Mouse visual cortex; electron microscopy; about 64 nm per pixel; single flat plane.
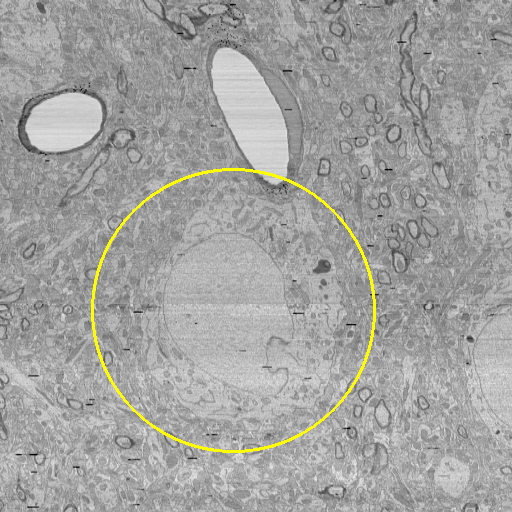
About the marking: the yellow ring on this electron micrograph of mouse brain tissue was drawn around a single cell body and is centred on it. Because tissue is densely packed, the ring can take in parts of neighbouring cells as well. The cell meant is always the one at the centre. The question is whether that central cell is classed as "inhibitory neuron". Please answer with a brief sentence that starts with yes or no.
No, the central cell belongs to another class.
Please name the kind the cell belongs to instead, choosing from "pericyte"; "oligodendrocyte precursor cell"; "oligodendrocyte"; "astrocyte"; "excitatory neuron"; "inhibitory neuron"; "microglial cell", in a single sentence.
The ring's central cell is an excitatory neuron instead.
